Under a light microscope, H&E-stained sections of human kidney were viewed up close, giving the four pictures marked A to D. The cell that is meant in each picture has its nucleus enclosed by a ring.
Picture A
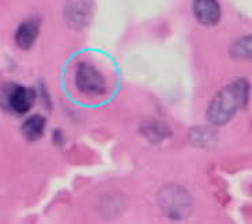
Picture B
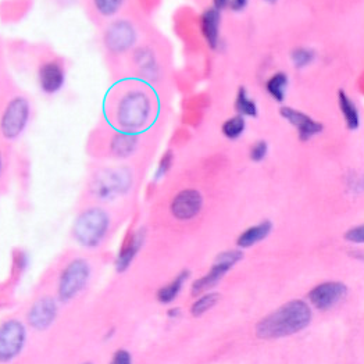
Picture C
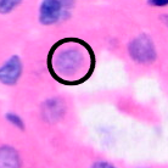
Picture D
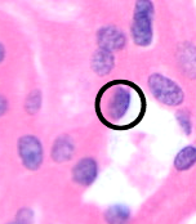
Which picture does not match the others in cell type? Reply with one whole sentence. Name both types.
The others show “loop of Henle or distal tubule cells”, but picture B shows a collecting duct cell.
